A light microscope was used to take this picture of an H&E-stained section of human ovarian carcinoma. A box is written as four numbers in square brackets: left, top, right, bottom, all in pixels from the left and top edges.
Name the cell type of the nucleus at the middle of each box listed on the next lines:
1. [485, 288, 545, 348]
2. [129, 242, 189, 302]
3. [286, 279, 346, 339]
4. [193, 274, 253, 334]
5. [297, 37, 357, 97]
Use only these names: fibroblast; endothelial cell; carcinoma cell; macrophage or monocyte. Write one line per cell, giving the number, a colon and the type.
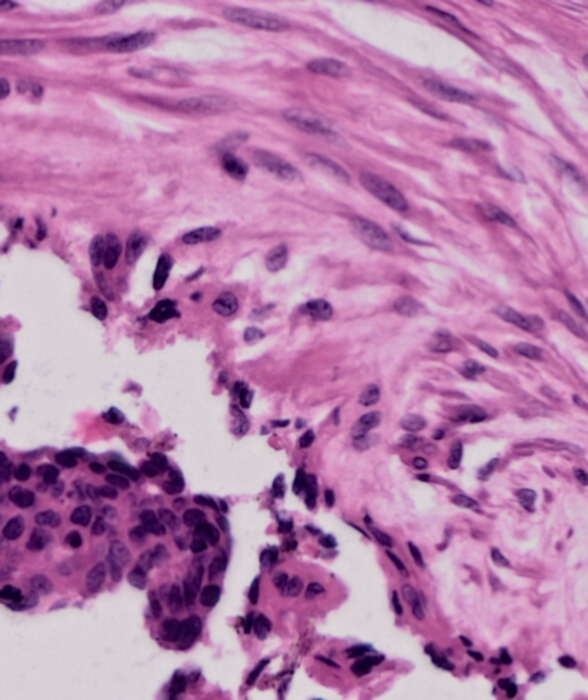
1: fibroblast
2: carcinoma cell
3: macrophage or monocyte
4: macrophage or monocyte
5: fibroblast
